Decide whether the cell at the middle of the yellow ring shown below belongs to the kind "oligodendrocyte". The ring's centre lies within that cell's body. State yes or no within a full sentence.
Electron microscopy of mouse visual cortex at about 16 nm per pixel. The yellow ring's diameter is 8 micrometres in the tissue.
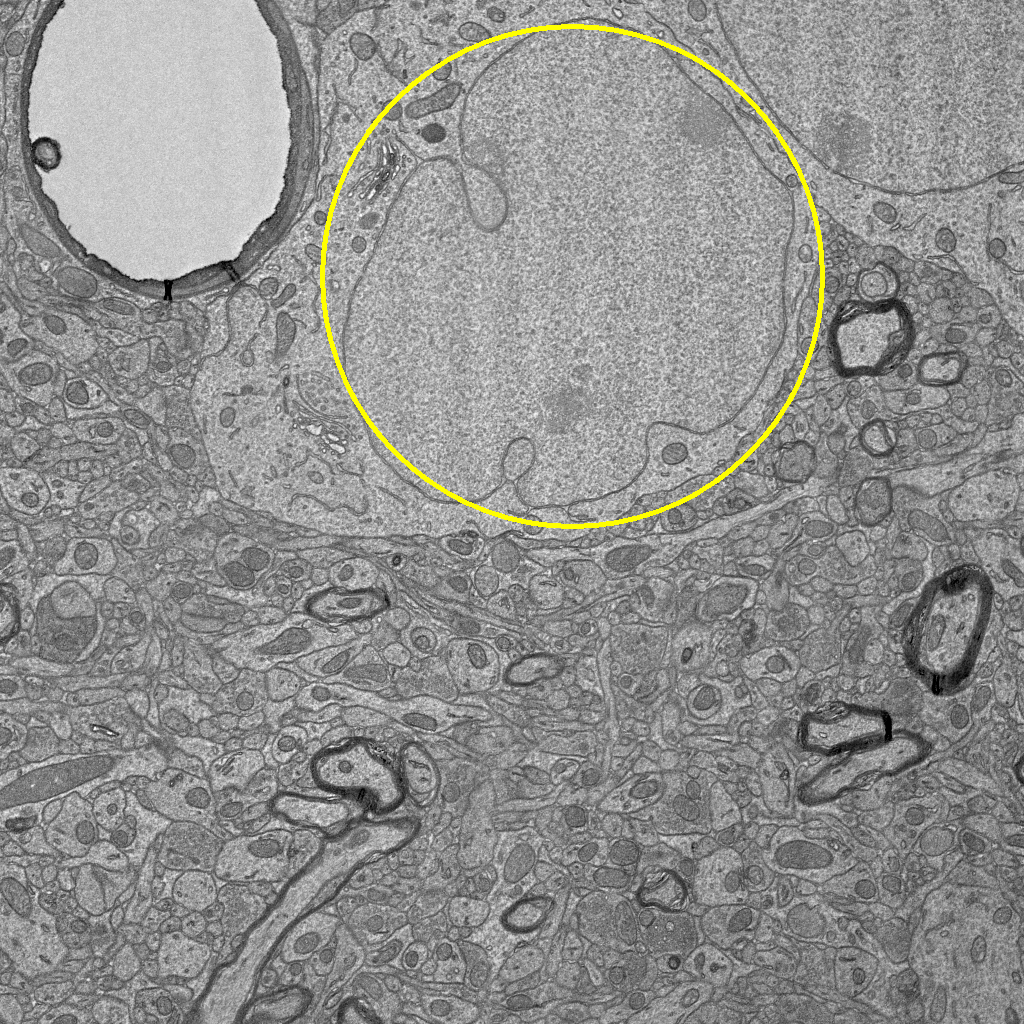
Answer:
No, the cell whose body lies at the ring's centre in the picture belongs to a different kind.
